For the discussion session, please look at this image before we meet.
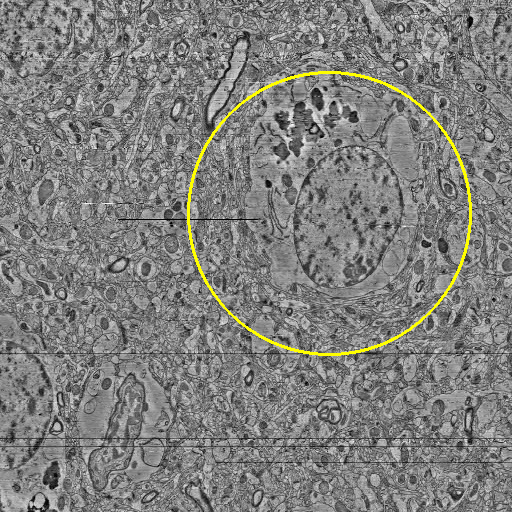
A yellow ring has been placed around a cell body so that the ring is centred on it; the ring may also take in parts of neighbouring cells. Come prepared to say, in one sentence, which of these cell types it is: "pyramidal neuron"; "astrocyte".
The cell centred in the ring is an astrocyte.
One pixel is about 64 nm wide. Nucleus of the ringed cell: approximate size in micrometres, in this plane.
In this plane, about 10 micrometres in length and 7 in width.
